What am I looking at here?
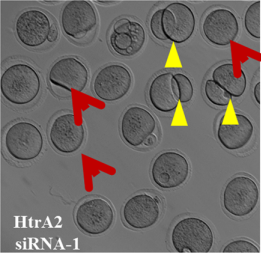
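Large round oocytes lie within clear zonae pellucidae, their cytoplasm finely granular. Several oocytes are divided by a sharp furrow into two parts of near-equal size, a symmetrical division in place of a small polar body. Other oocytes are single round cells with no polar body beside them, and only a few show a small polar body as in normal maturation.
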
